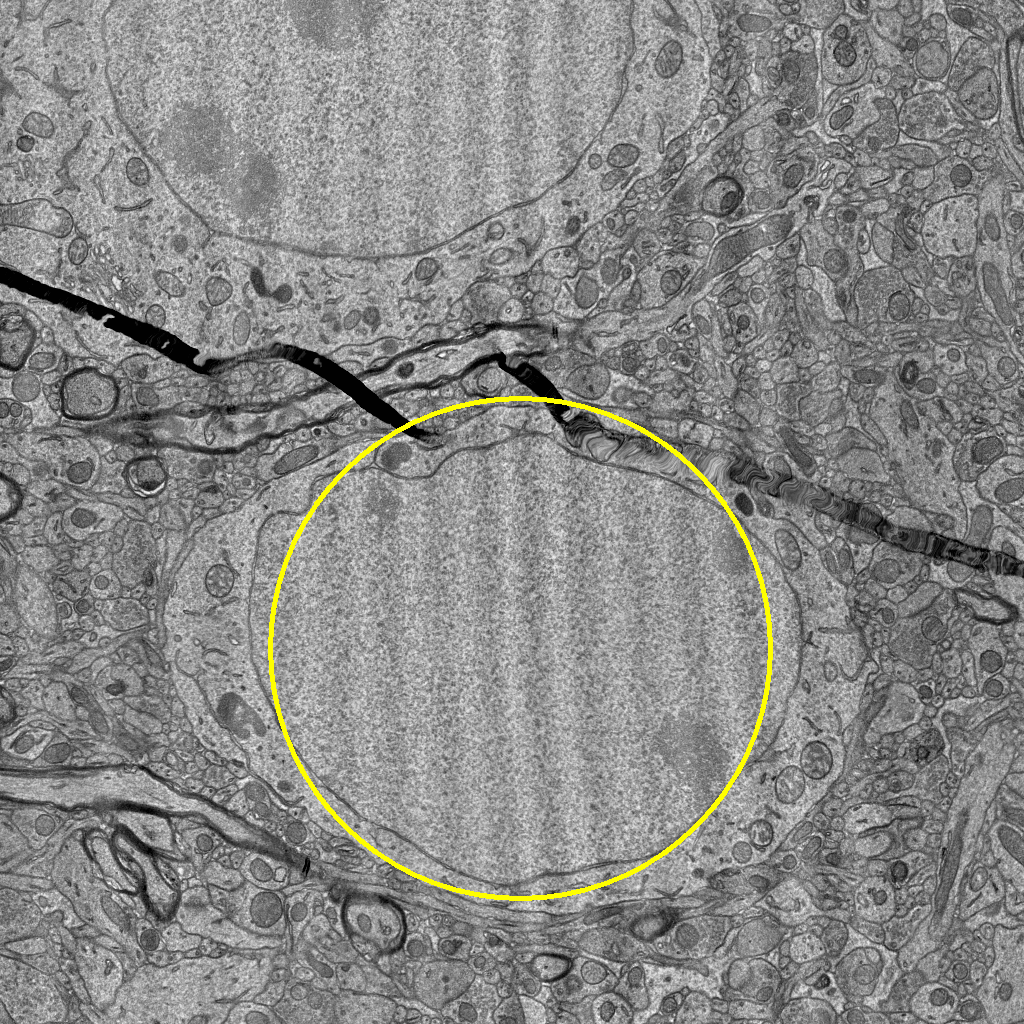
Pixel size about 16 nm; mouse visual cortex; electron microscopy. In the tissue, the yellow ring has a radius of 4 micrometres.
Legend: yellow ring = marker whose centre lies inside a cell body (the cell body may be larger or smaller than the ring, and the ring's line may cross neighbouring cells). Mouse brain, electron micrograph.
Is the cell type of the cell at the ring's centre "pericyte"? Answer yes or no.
no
